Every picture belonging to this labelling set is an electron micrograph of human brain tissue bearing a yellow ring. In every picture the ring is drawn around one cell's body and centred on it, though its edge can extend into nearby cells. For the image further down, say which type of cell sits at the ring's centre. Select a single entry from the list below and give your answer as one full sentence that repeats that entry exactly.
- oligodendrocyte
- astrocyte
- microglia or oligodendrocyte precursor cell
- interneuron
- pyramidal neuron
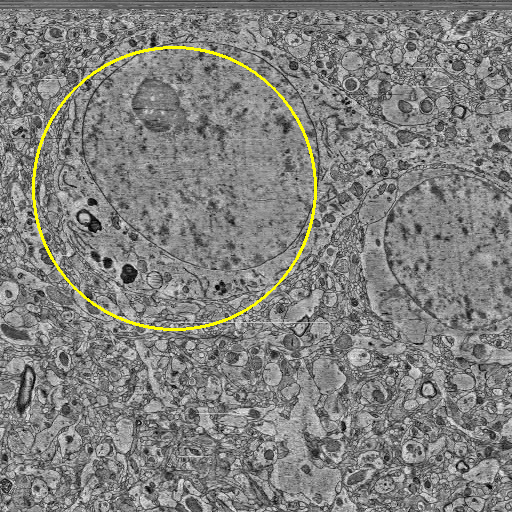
In the picture, a pyramidal neuron is the cell at the centre of the yellow ring.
